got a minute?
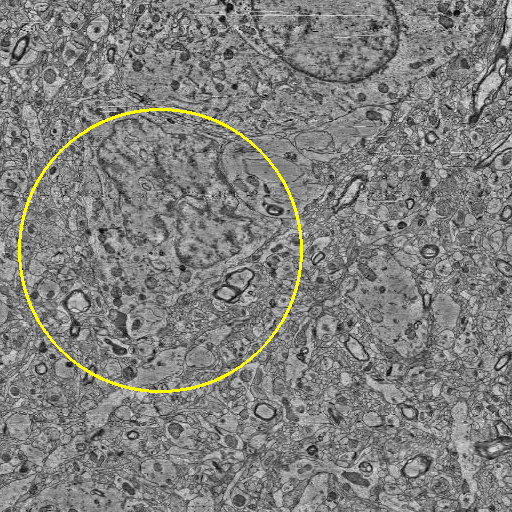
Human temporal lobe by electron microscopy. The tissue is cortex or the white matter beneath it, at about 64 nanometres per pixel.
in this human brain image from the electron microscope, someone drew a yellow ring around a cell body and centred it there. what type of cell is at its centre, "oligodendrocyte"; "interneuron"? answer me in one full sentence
It's an interneuron at the middle of that yellow ring in the shot.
